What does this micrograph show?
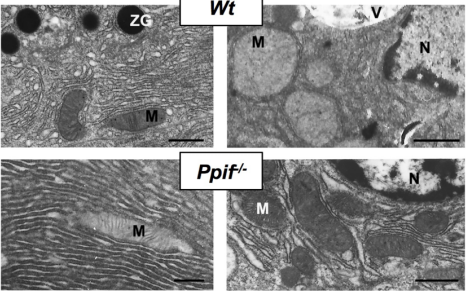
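These are electron micrographs of pancreatic acinar cells, the secretory cells of the exocrine pancreas. In the upper left image several dark, round secretory granules sit near the top of the cell. The upper right image looks very different: its mitochondria are large, rounded and pale, and their inner folds are largely gone, so they appear swollen and almost empty. A clear vacuole and part of a nucleus lie next to these swollen mitochondria. In the lower right image a nucleus lies beside mitochondria that keep their dense, folded interior.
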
